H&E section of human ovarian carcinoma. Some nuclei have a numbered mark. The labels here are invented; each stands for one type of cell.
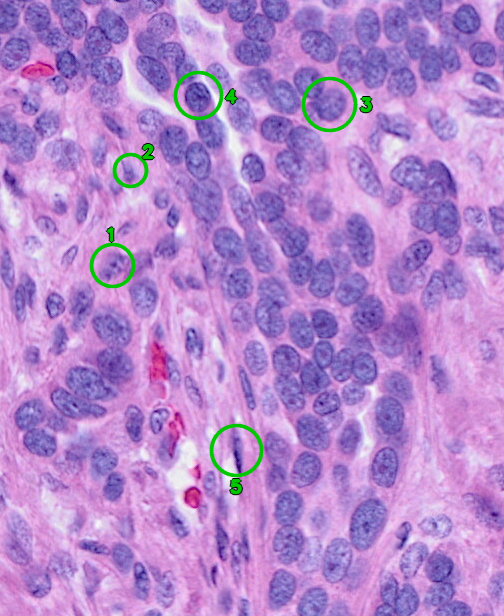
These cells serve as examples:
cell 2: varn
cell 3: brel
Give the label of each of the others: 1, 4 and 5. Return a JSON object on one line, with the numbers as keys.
{"1": "varn", "4": "brel", "5": "varn"}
